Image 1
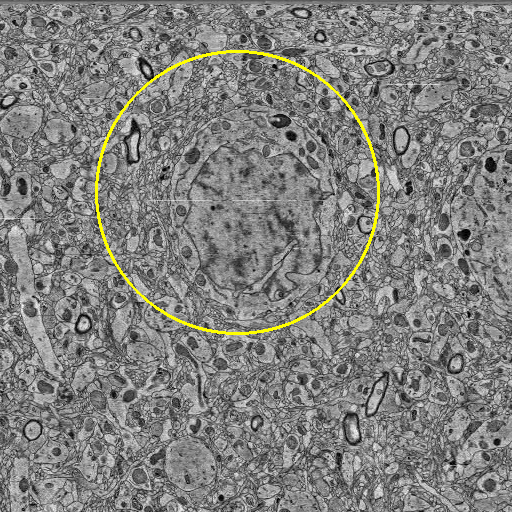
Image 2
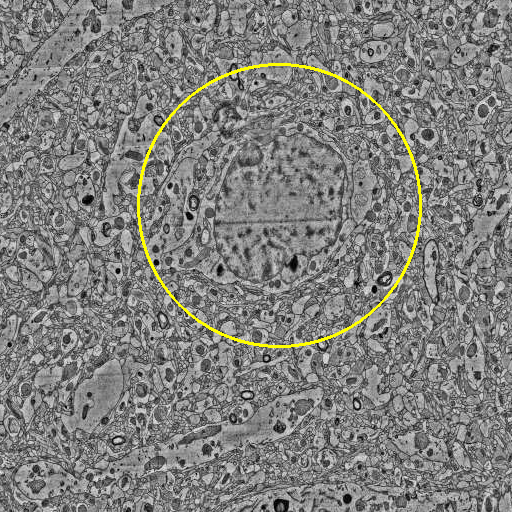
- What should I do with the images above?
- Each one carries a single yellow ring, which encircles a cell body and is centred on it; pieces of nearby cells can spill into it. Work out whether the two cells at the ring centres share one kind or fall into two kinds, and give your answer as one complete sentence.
The ring-centre cells of Image 1 and Image 2 share one kind.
